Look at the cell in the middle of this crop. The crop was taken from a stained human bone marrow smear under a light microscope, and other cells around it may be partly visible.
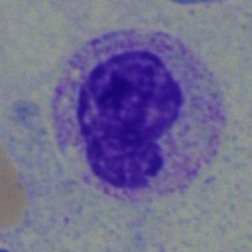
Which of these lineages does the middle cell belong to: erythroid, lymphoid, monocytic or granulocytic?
granulocytic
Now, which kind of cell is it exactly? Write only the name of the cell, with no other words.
band neutrophil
